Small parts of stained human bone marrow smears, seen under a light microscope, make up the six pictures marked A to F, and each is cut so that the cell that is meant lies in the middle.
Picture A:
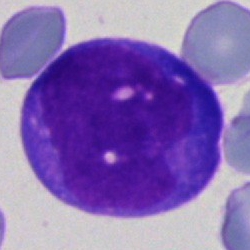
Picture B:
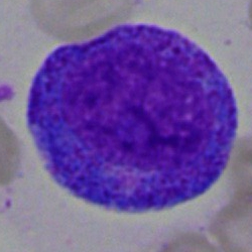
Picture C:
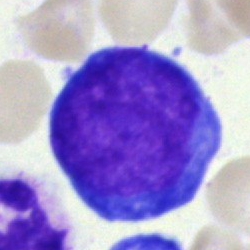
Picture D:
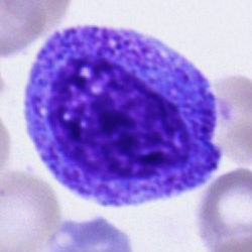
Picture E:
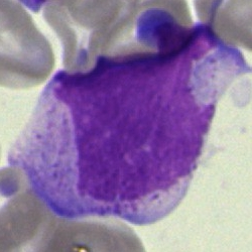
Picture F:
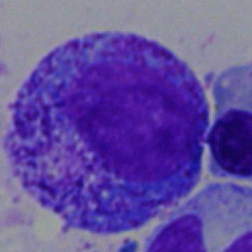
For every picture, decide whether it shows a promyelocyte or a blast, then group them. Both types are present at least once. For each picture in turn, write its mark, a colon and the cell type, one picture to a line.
A: blast
B: promyelocyte
C: blast
D: promyelocyte
E: blast
F: promyelocyte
